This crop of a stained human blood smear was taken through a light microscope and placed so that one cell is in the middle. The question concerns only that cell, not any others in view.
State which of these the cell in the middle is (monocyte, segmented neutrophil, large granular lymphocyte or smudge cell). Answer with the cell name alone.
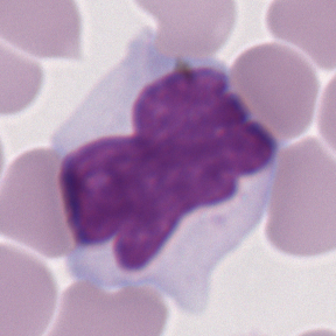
monocyte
